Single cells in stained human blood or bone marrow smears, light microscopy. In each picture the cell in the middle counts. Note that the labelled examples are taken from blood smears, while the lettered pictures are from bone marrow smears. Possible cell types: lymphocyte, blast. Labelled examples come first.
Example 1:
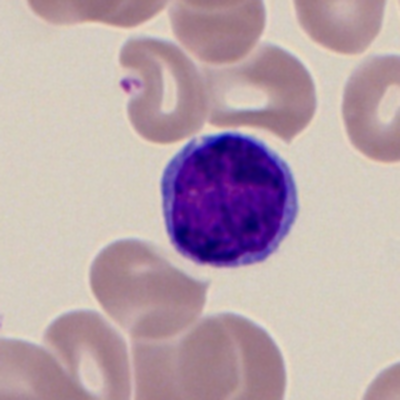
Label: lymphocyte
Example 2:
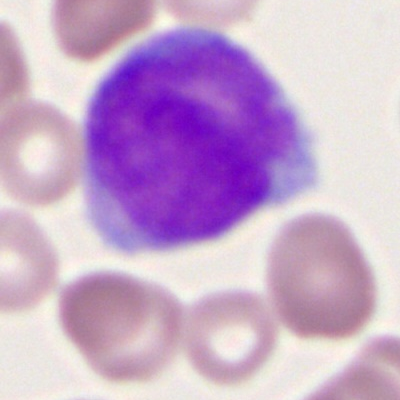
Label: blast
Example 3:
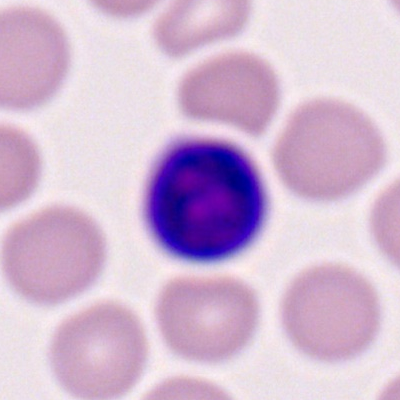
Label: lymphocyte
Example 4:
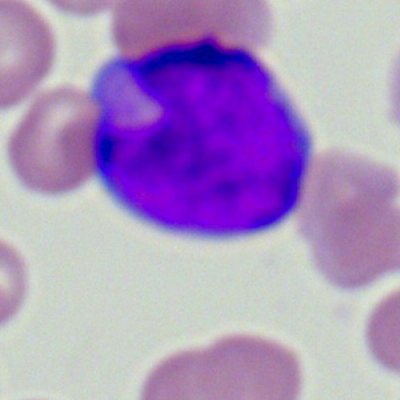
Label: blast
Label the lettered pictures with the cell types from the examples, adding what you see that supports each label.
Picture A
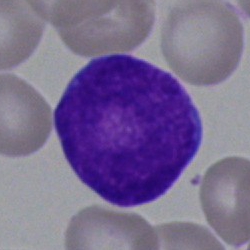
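blast: The chromatin is finely stippled rather than coarsely clumped.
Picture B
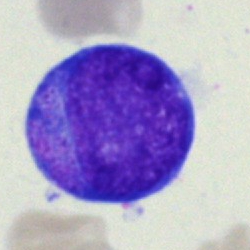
blast: The chromatin is finely granular rather than coarsely clumped.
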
